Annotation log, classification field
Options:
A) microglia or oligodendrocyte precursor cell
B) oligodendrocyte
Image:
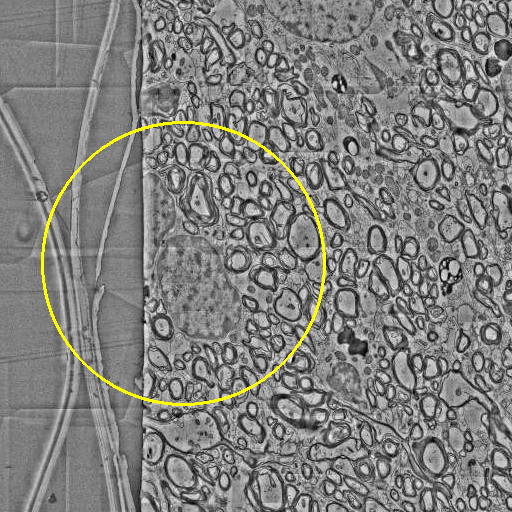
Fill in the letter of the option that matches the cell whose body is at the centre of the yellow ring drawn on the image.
B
